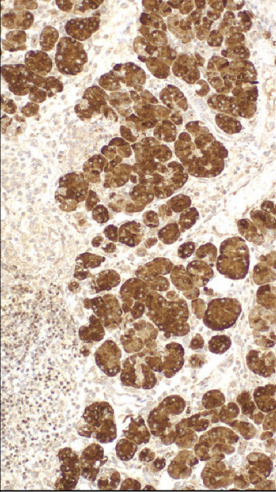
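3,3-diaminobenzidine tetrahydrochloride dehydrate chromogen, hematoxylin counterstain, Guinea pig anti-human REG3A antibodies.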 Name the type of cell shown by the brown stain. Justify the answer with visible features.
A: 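Intense brown stain fills the cytoplasm of cells arranged in rounded acini. The stained acini form lobules separated by pale loose stroma. So: pancreatic acinar cells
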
